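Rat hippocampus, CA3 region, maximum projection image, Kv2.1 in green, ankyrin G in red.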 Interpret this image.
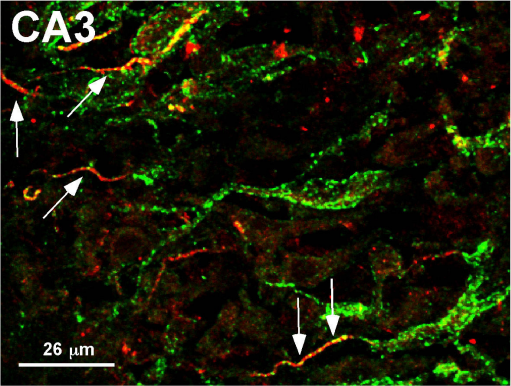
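Large neuronal cell bodies appear as dark, faintly reddish areas outlined by chains of green puncta, which continue along thick processes leaving them. Many slender red or orange-yellow processes, short and often gently curved, run between the cells; along several of them green and red overlap to give yellow segments. Scattered bright red and green dots fill the spaces between cells. The outlines of the cell bodies are irregular, and neighbouring cells lie close together.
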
